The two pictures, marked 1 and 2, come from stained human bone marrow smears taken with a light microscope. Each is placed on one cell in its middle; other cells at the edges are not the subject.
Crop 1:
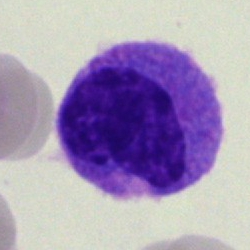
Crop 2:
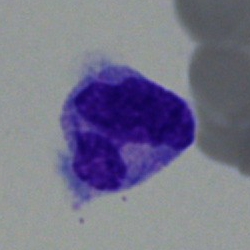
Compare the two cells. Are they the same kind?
yes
